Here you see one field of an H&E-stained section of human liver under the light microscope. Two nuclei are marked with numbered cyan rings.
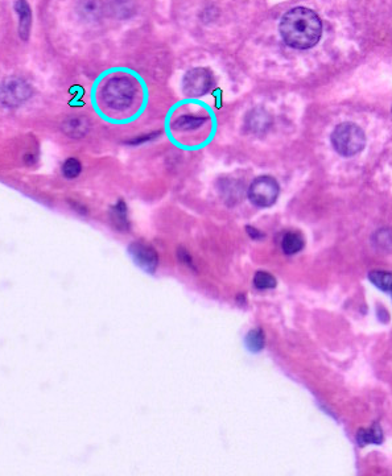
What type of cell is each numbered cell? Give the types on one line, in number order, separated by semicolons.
fibroblast or stellate cell; hepatocyte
